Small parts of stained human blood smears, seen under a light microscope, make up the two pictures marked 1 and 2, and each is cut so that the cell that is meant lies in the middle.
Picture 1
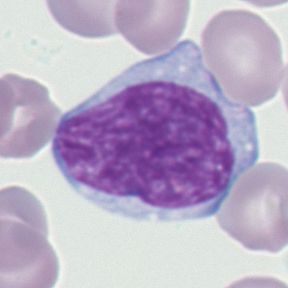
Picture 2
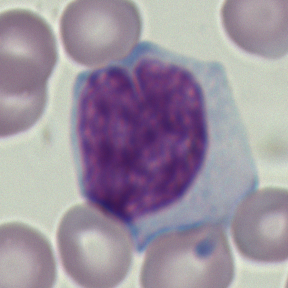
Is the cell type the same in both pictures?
yes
